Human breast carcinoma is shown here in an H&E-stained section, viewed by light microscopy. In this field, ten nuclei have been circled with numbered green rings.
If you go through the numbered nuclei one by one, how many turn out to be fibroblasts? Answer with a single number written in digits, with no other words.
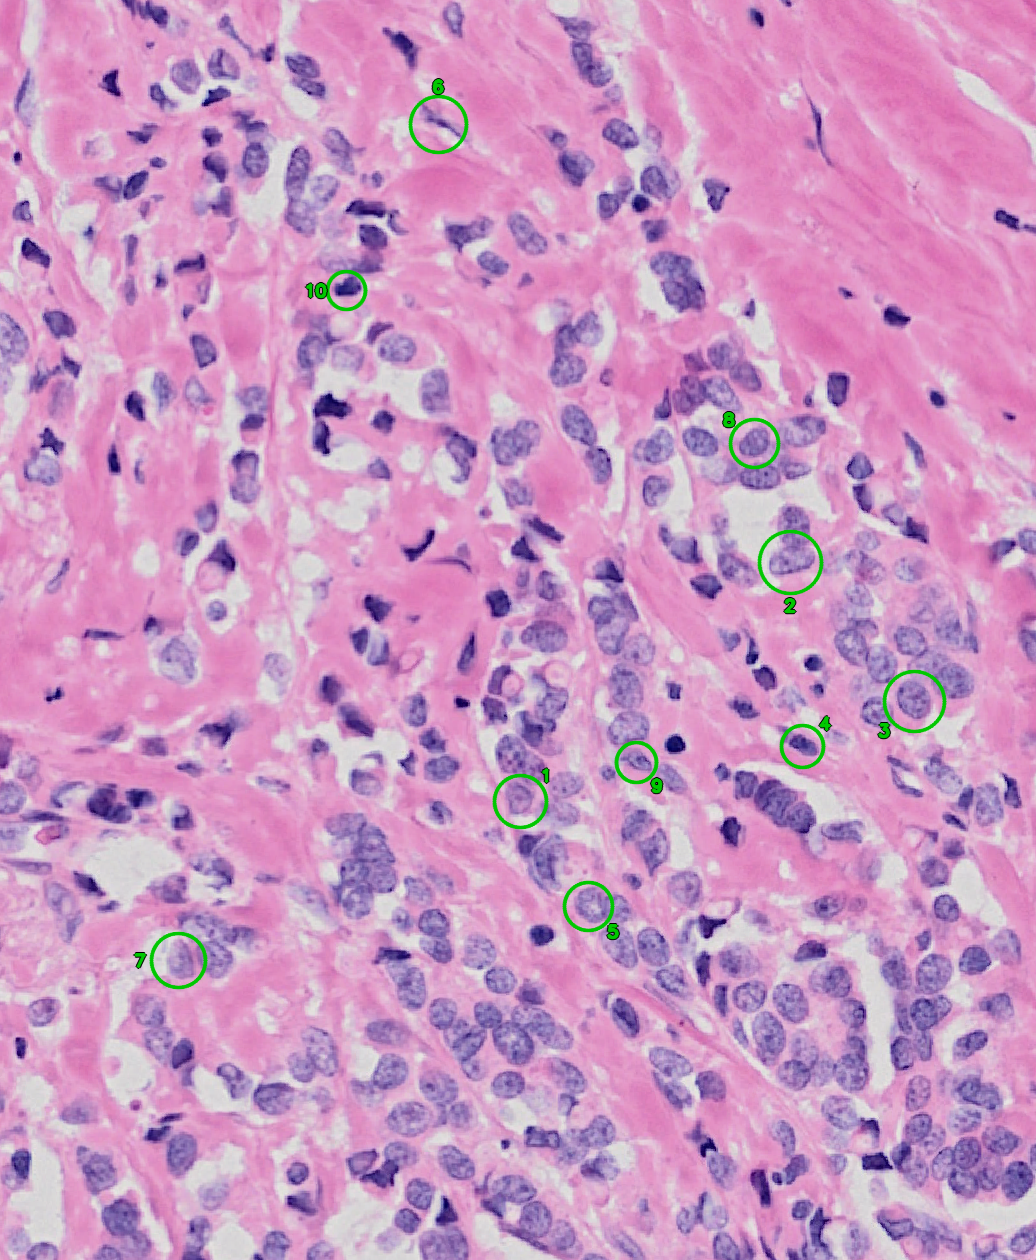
1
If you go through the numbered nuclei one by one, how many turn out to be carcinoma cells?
6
